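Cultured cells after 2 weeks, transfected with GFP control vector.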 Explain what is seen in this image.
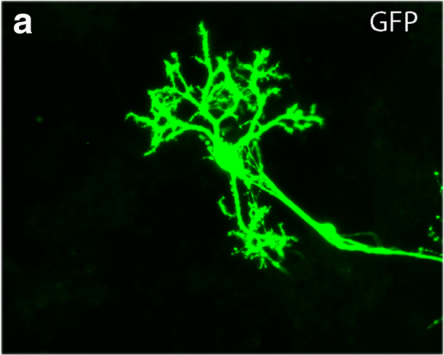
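The rounded cell body sits near the centre, and several thick primary dendrites leave it and split repeatedly into a wide, bushy dendritic tree. The finer branches at the ends look rough and knobbly, as though covered with small spines. A long, smooth process runs away from the cell body toward the lower right and leaves the field. Apart from a few faint thin fibres, the neighbourhood is empty, so the shape of this one cell can be followed in full.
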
